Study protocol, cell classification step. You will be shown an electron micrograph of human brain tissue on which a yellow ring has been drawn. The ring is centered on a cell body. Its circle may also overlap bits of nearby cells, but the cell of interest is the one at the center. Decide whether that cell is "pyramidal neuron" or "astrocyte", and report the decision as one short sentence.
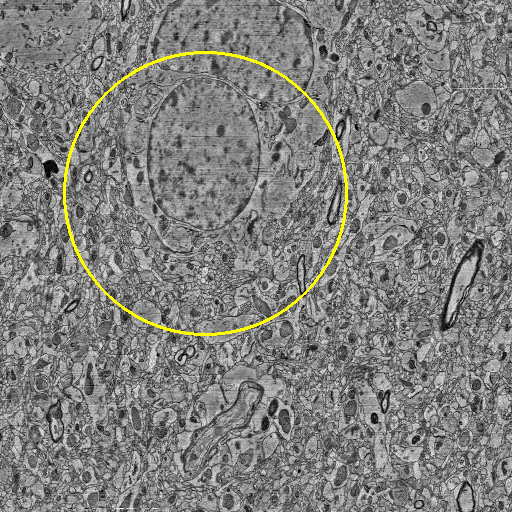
The marked cell is an astrocyte.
